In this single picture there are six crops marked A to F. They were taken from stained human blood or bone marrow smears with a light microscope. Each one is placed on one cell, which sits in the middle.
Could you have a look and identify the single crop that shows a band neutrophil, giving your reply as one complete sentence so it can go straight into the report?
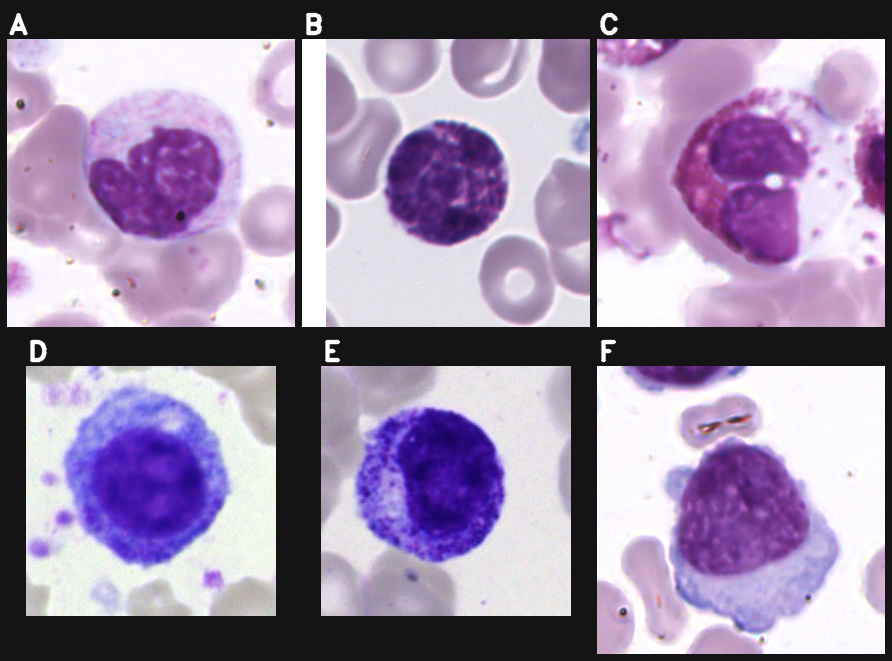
The crop with a band neutrophil in it is crop A.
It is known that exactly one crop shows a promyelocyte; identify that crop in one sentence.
Of the cells presented, the one in crop D is a promyelocyte.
